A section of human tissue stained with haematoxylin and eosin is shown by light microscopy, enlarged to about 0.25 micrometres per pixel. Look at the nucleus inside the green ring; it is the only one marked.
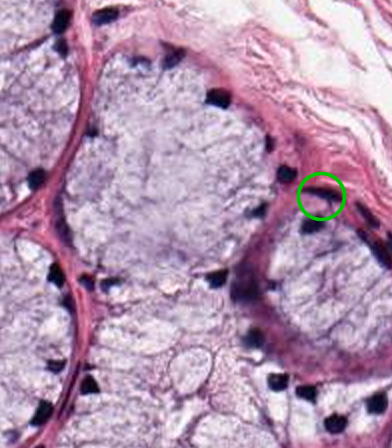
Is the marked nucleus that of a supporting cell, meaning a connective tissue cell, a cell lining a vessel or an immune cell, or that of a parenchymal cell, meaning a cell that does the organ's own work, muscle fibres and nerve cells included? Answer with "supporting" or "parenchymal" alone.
supporting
